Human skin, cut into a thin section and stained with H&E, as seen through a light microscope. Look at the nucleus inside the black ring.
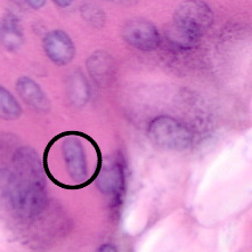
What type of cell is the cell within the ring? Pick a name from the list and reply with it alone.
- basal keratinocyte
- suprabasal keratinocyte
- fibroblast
suprabasal keratinocyte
